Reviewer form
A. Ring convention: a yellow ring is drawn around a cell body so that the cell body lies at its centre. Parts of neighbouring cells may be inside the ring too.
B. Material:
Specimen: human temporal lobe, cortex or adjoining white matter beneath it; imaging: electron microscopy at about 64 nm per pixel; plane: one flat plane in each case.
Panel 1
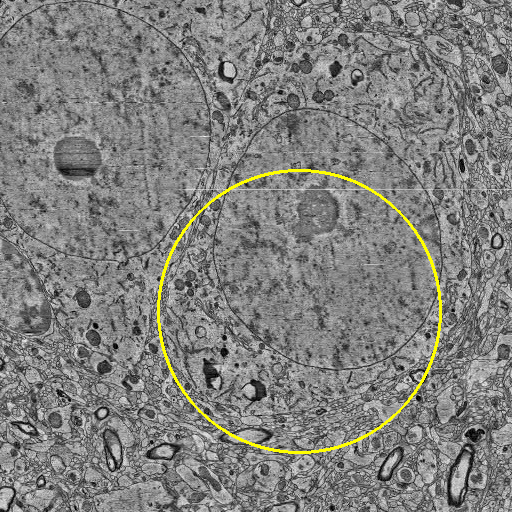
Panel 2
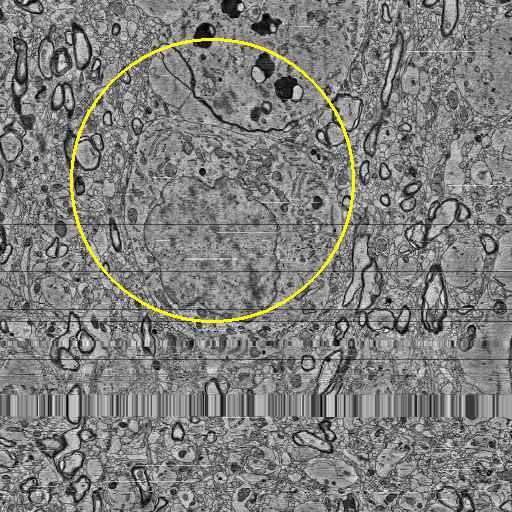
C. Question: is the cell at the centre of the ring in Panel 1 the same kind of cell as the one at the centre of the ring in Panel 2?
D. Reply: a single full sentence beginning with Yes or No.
No, the cells in Panel 1 and Panel 2 are two kinds of cell.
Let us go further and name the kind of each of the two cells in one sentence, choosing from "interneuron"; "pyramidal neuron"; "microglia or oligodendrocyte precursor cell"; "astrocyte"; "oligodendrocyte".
The ring of the first picture is on a pyramidal neuron, the ring of the second on an interneuron.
